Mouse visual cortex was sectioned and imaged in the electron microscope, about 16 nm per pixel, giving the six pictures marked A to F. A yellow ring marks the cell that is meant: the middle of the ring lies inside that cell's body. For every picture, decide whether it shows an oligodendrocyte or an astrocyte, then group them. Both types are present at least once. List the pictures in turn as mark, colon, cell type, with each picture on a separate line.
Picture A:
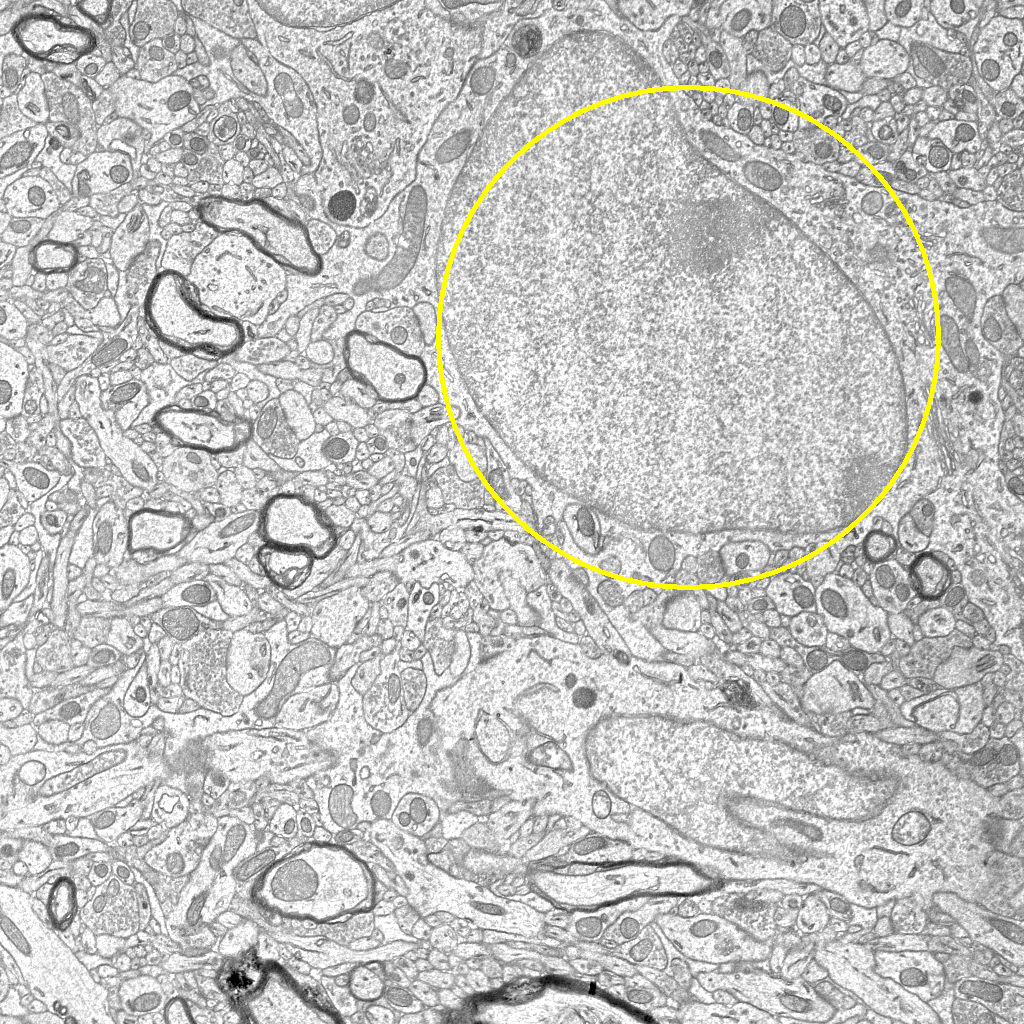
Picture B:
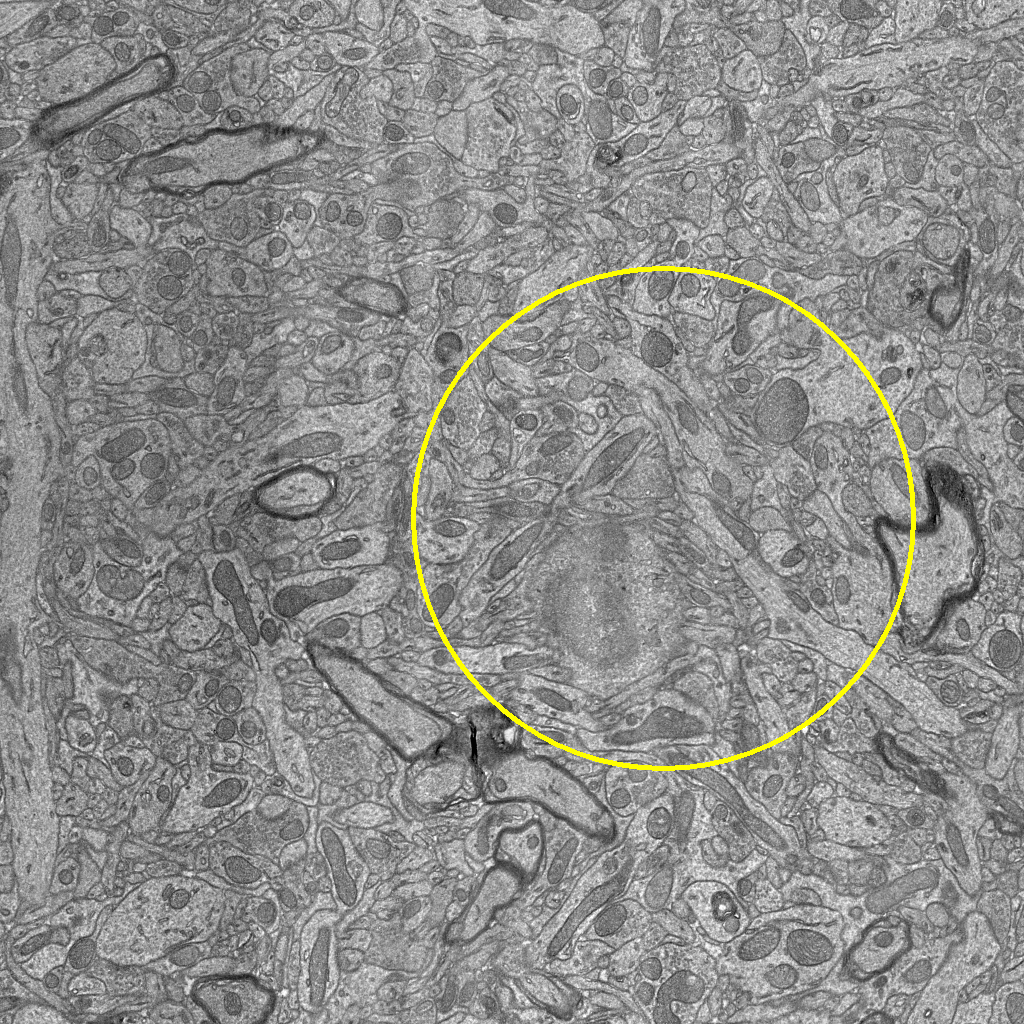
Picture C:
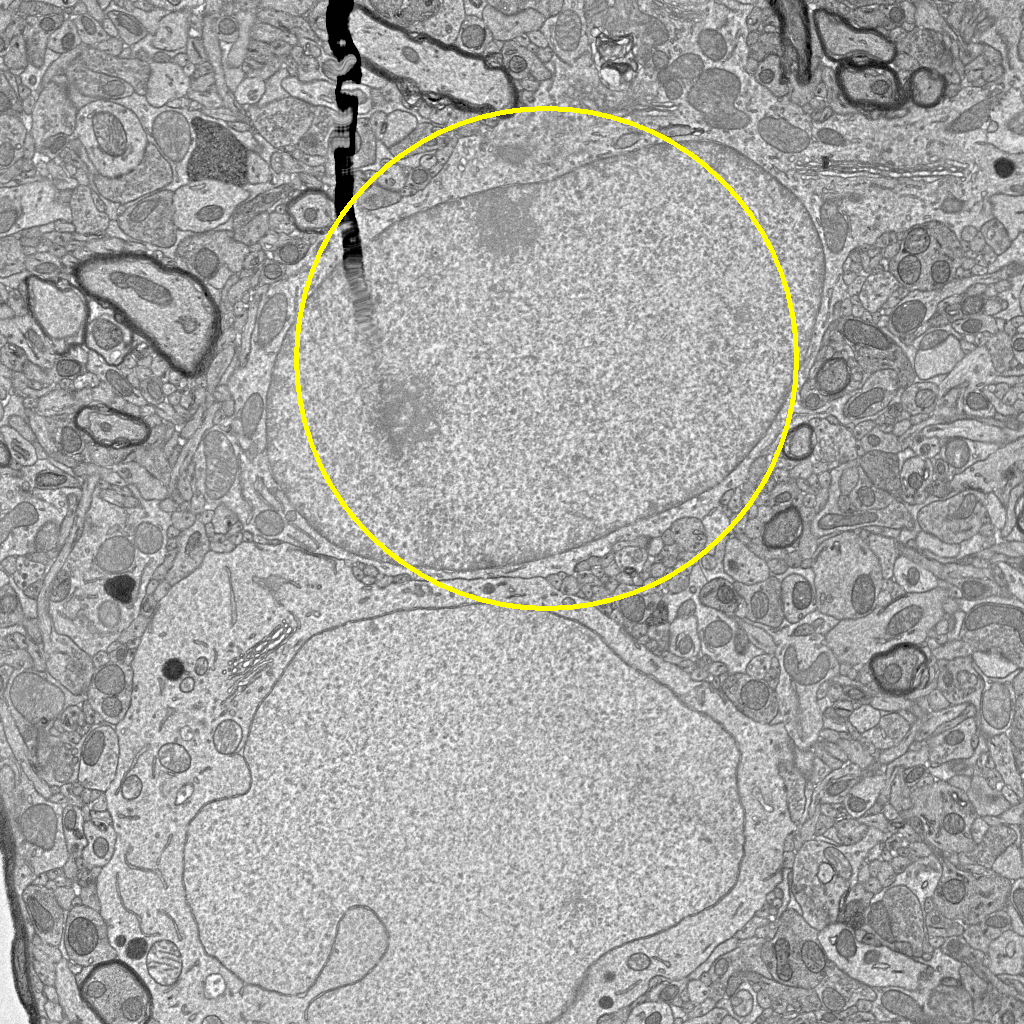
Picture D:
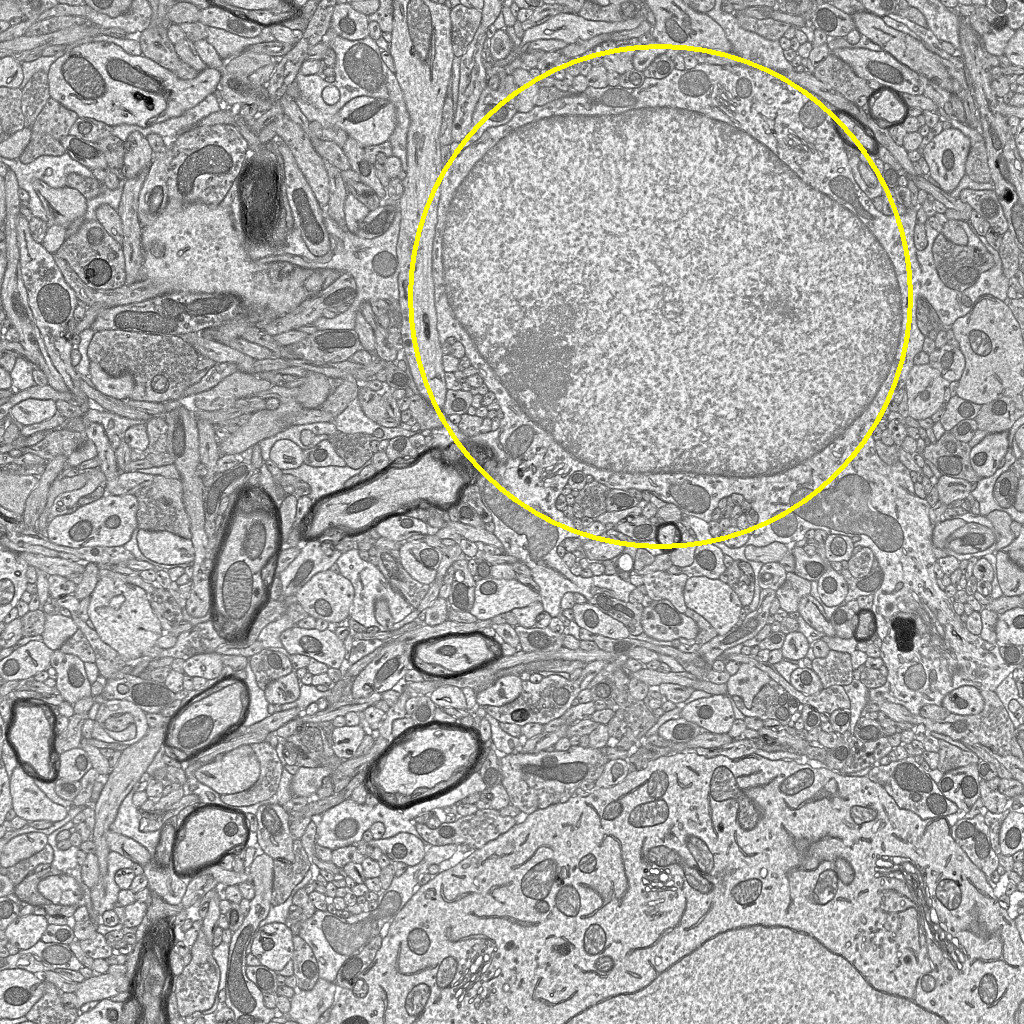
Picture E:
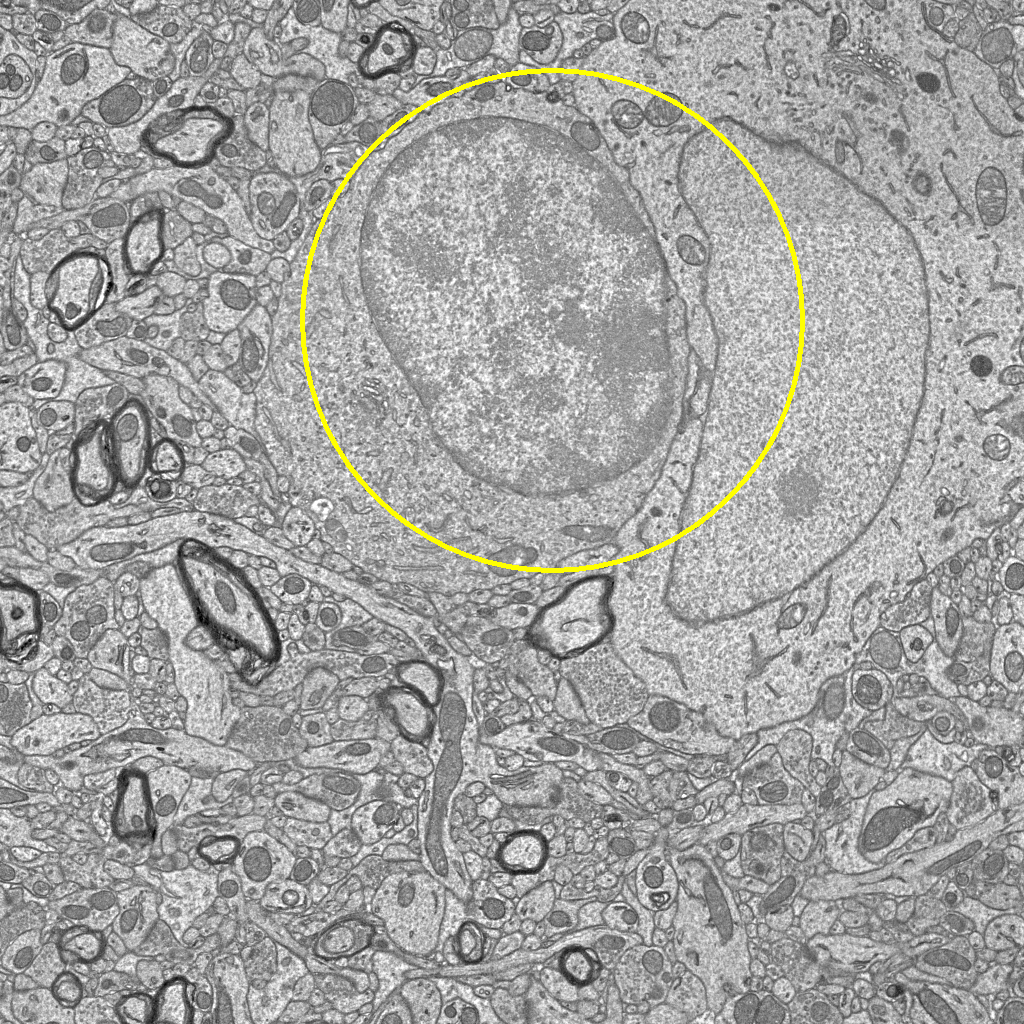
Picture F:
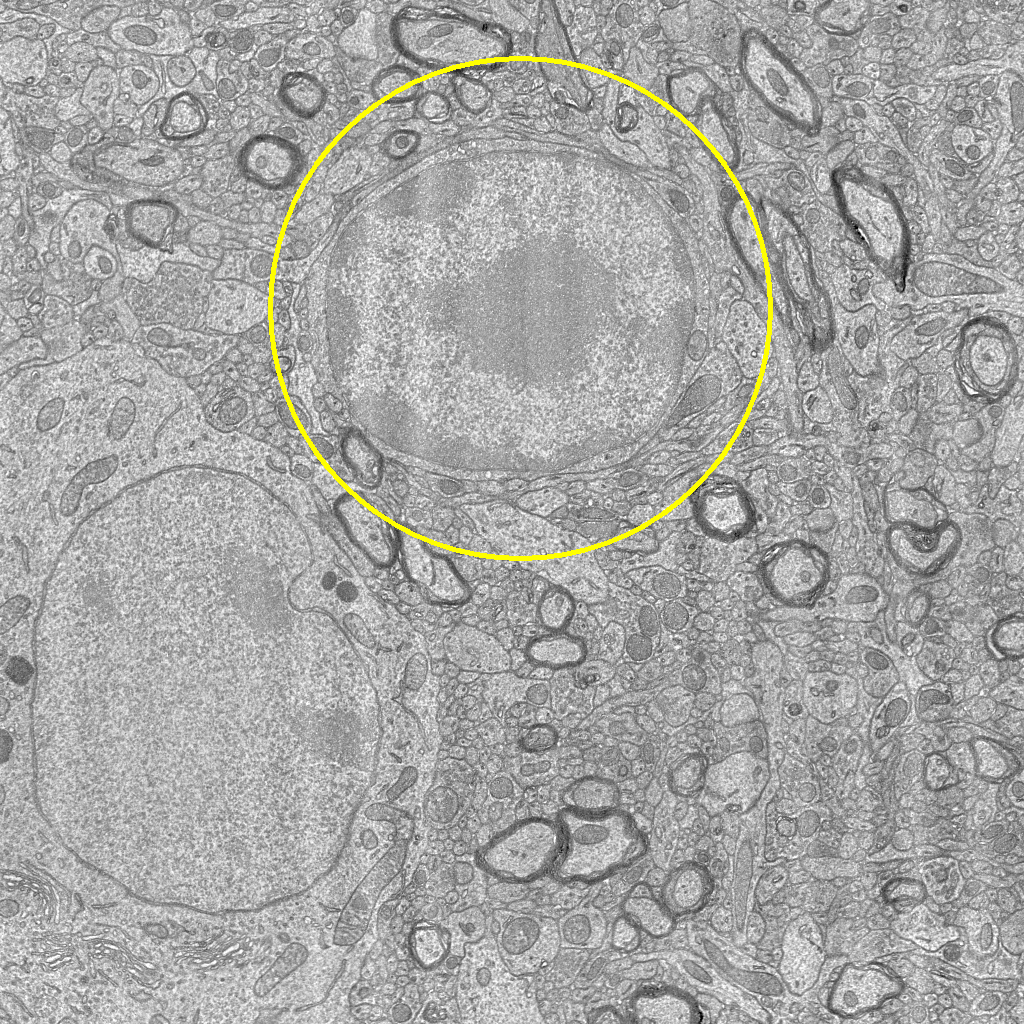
A: astrocyte
B: oligodendrocyte
C: astrocyte
D: astrocyte
E: oligodendrocyte
F: oligodendrocyte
